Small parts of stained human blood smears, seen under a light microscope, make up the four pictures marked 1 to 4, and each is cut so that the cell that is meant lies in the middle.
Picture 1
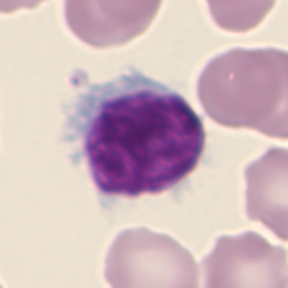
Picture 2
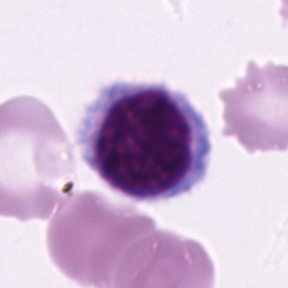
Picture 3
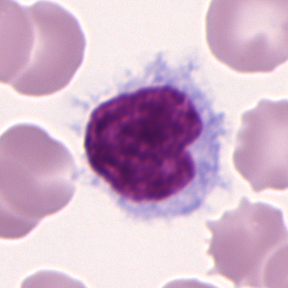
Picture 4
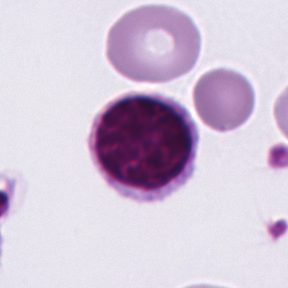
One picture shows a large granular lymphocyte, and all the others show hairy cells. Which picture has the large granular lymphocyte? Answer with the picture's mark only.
4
